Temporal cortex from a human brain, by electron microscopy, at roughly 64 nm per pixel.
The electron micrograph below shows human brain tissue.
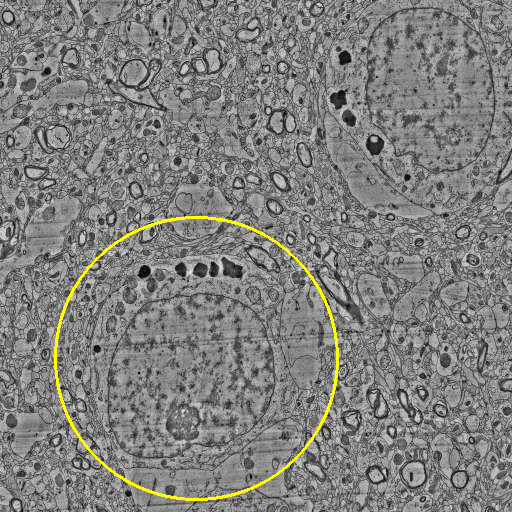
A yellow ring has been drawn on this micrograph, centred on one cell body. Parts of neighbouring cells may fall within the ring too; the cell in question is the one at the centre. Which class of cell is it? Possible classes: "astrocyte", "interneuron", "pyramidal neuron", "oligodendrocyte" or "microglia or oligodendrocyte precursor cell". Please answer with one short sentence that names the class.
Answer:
In the centre of the ring sits a pyramidal neuron.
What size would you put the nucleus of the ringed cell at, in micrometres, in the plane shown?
Roughly 12 by 10 micrometres in this plane, for the nucleus of the ringed cell.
